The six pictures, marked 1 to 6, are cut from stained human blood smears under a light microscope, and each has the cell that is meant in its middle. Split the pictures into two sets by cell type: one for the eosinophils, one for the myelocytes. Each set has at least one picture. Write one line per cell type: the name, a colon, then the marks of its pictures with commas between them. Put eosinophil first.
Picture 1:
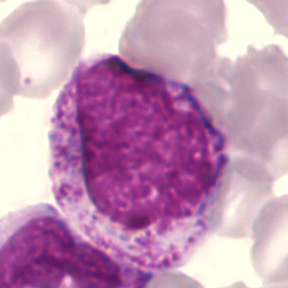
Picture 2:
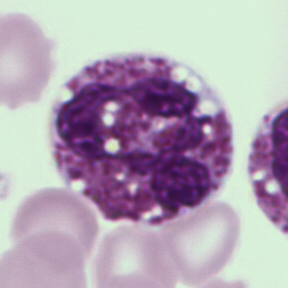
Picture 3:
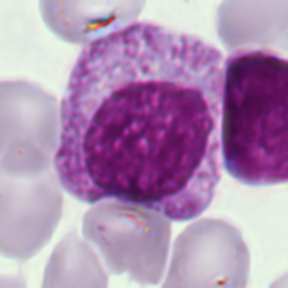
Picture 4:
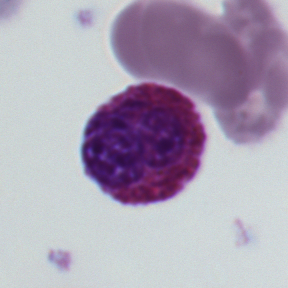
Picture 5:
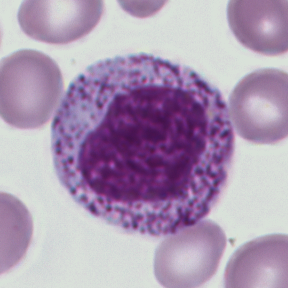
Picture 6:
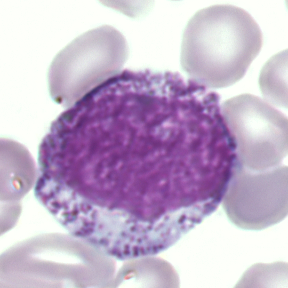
eosinophil: 2, 4
myelocyte: 1, 3, 5, 6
